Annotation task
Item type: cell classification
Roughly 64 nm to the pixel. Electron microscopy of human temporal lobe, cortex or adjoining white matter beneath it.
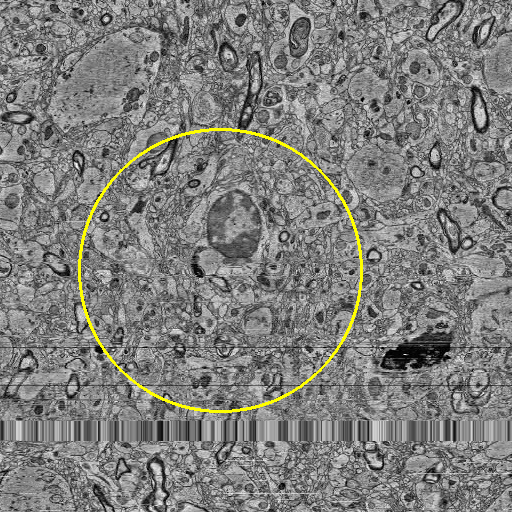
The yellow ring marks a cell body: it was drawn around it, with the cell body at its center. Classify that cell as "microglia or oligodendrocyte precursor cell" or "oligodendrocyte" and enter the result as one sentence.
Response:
The ring's center falls on a microglial cell or oligodendrocyte precursor cell.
